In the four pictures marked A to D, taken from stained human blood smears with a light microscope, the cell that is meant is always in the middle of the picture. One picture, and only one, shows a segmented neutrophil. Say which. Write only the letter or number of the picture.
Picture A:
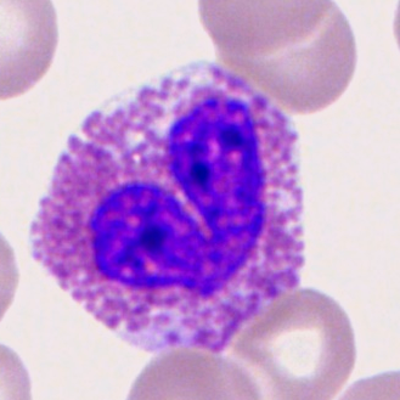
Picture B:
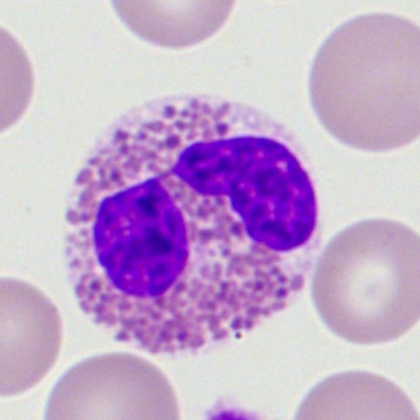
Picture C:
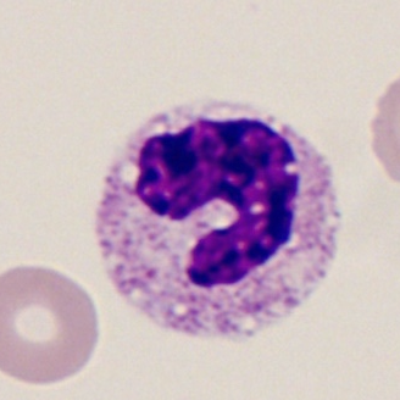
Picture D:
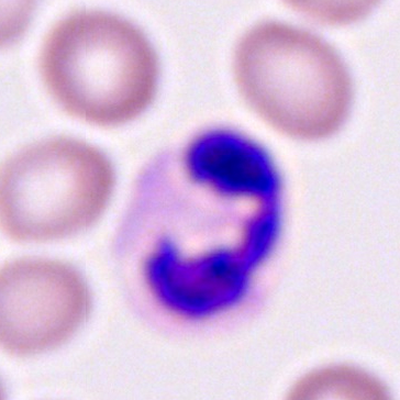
D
